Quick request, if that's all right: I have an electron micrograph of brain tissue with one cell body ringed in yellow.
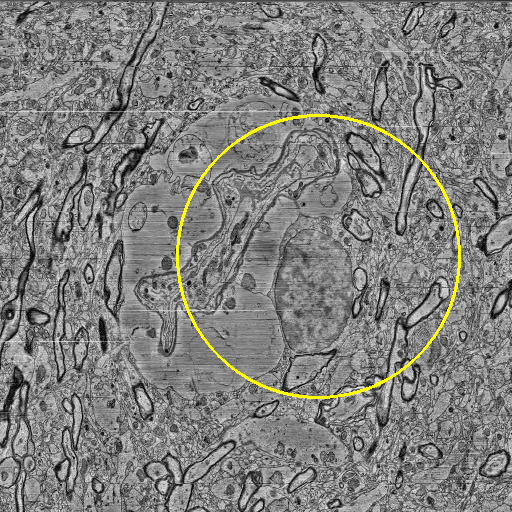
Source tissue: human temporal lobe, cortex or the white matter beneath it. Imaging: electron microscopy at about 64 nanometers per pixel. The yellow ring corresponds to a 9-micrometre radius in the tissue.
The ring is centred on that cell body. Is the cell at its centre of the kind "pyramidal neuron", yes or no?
no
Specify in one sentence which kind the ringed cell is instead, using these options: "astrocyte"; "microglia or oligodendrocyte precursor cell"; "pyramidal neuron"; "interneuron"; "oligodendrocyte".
The cell enclosed by the ring is an oligodendrocyte.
